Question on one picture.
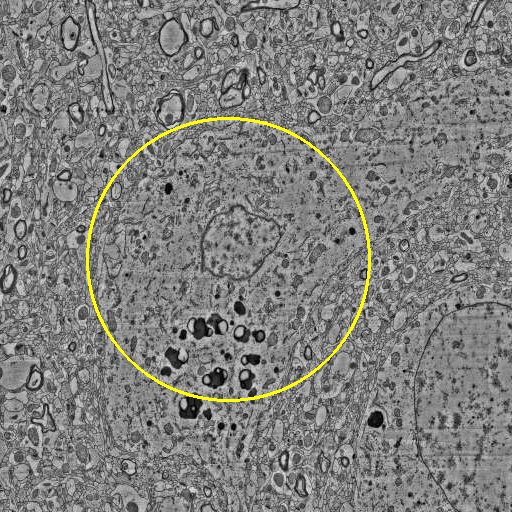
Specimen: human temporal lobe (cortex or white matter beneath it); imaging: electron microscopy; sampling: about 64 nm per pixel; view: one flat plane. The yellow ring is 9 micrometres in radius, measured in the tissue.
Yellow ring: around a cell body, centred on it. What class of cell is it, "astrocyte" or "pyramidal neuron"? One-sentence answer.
This is a pyramidal neuron, the cell the ring is centred on.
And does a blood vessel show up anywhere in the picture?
No.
